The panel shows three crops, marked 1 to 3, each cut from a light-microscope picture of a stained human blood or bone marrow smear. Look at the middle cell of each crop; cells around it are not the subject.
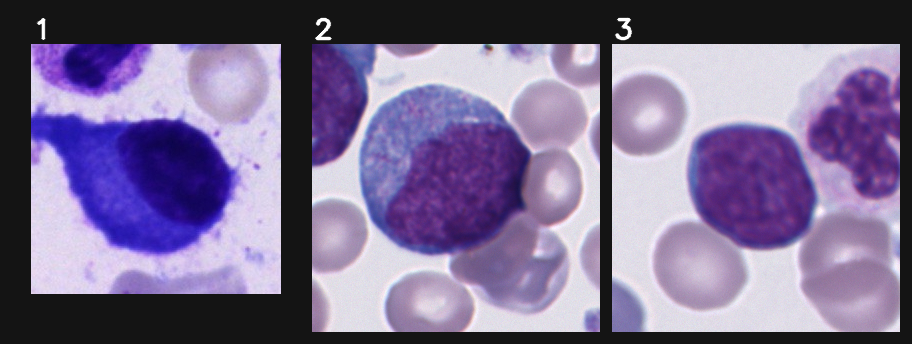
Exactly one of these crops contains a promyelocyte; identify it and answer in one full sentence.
Among the crops provided, a promyelocyte occupies the center of crop 2.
